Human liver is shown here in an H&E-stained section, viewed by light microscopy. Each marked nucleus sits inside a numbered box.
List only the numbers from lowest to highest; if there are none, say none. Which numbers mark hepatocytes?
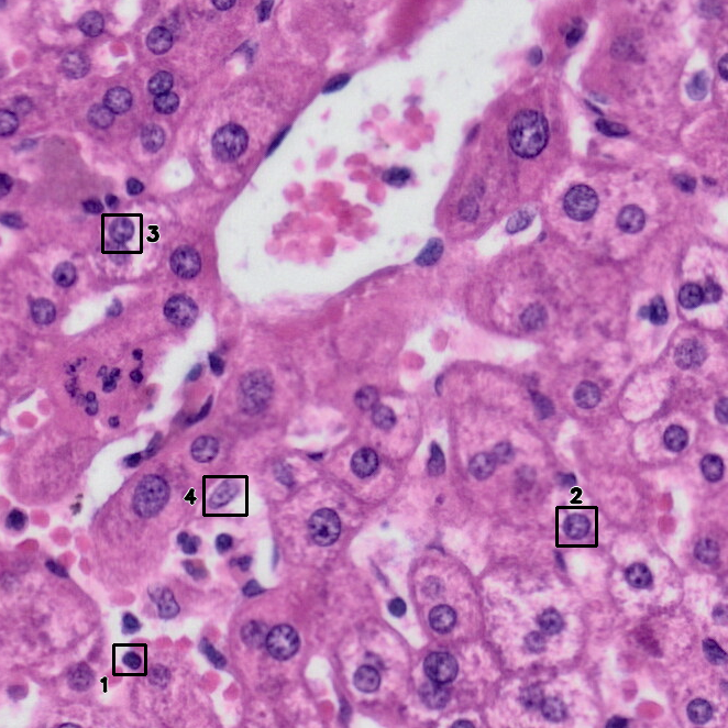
2, 3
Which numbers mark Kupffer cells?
4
